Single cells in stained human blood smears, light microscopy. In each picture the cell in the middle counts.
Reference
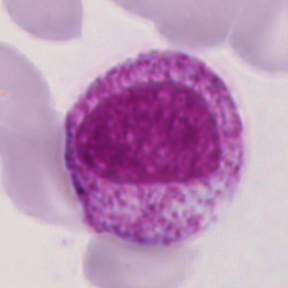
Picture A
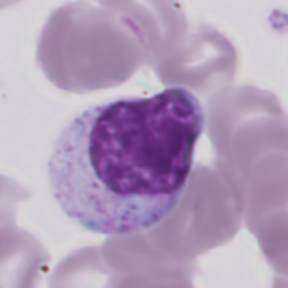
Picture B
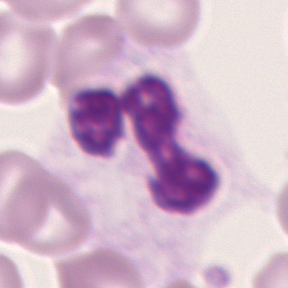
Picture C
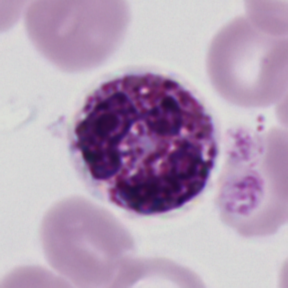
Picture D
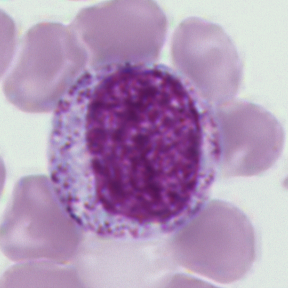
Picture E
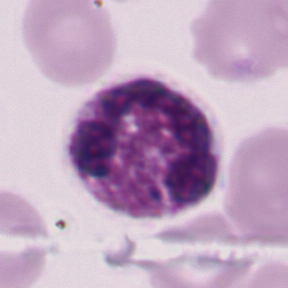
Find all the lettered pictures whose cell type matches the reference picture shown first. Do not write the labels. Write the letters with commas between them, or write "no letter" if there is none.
D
